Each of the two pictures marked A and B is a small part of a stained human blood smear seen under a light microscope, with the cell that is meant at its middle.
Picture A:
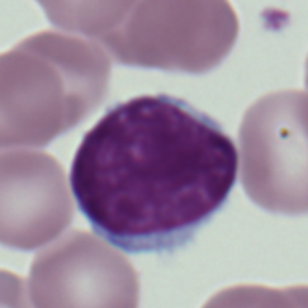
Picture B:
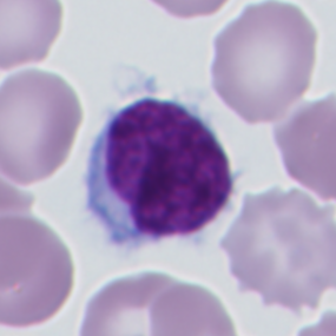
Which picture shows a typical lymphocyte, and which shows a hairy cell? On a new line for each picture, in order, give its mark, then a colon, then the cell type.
A: typical lymphocyte
B: hairy cell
